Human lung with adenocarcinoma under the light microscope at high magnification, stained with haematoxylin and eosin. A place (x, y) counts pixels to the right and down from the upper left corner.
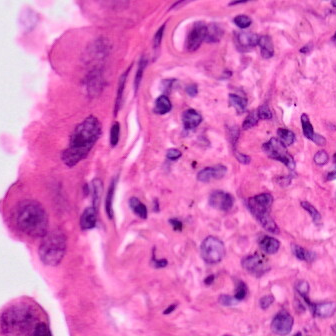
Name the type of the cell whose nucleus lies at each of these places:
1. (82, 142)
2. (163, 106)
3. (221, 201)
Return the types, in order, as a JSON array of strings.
["carcinoma cell", "lymphocyte", "plasma cell"]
